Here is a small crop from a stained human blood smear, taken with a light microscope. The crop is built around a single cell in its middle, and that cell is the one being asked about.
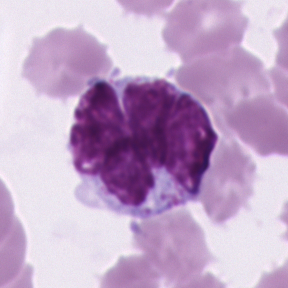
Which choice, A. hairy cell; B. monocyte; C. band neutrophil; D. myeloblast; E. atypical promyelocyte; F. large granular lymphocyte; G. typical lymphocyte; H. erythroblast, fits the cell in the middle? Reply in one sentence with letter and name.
Option G is accurate; the centrally placed cell is a typical lymphocyte.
